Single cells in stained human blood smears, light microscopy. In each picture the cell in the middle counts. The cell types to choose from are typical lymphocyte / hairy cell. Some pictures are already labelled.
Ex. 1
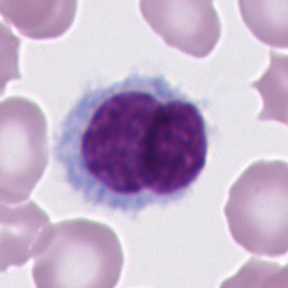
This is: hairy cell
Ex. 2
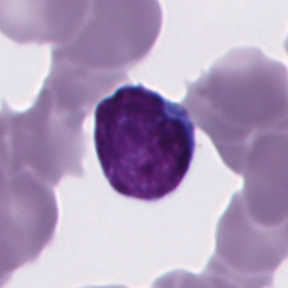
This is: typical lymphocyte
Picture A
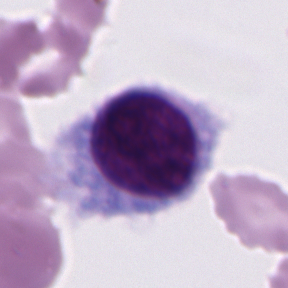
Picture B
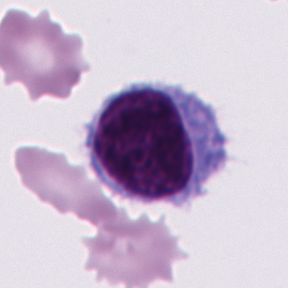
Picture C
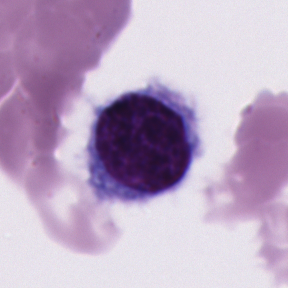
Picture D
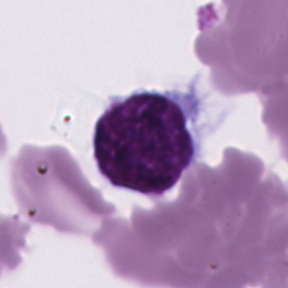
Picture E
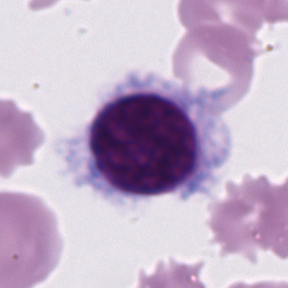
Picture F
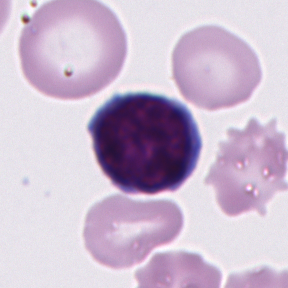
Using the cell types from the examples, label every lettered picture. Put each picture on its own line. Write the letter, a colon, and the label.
A: hairy cell
B: hairy cell
C: hairy cell
D: hairy cell
E: hairy cell
F: typical lymphocyte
